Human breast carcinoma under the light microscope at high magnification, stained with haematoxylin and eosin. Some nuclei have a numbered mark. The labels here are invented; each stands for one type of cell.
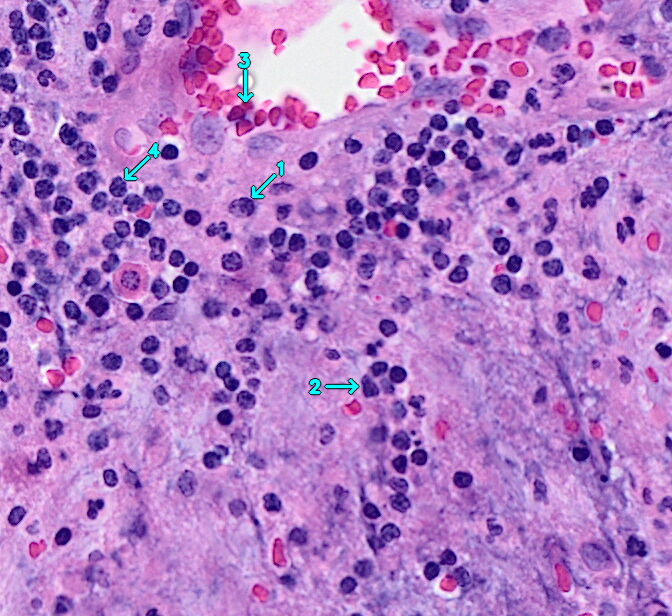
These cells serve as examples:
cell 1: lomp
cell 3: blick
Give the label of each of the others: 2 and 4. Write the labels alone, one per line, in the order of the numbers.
lomp
lomp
